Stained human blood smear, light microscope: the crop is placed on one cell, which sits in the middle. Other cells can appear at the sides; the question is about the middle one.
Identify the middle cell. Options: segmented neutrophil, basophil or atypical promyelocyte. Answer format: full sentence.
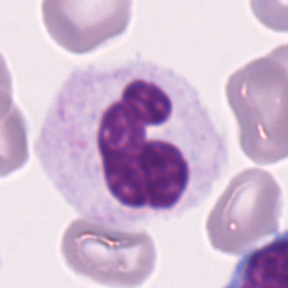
The crop centres on a single cell, and that cell is a segmented neutrophil.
